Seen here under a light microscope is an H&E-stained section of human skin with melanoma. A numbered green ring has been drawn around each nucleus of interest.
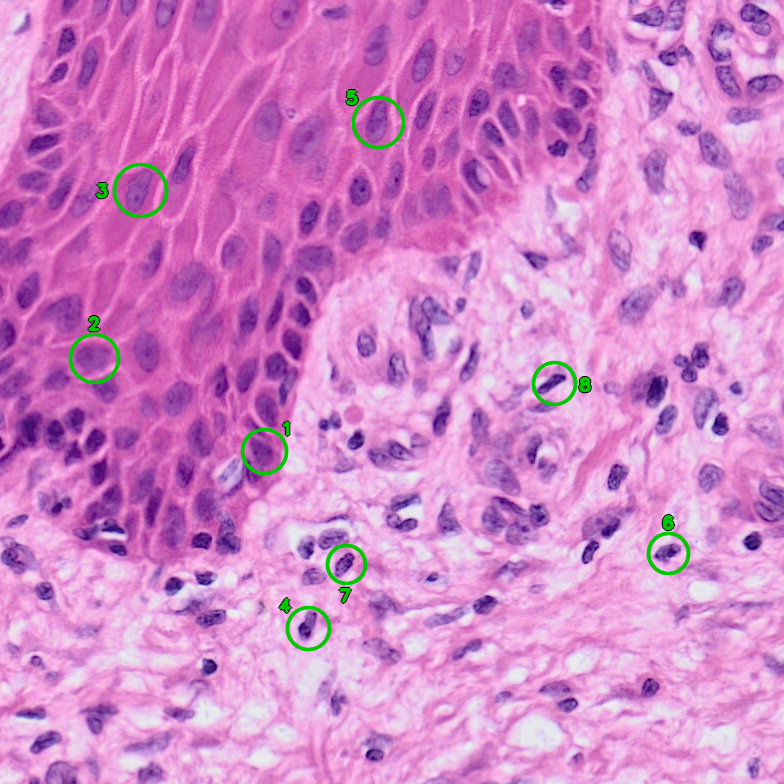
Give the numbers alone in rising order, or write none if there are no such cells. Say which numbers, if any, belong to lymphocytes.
4, 6, 7, 8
